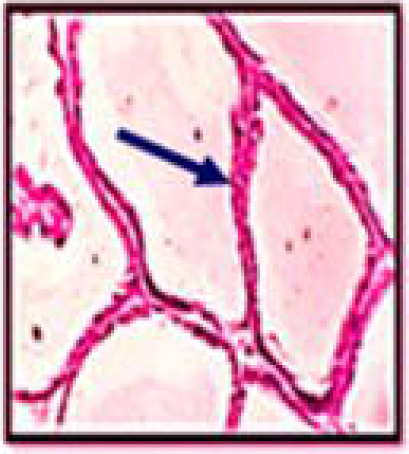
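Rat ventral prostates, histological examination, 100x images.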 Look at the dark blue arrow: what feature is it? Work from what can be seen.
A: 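The arrow points to a thin pink band bordering a large gland lumen. The lumens are filled with pale pink homogeneous material.
Answer: epithelial lining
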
